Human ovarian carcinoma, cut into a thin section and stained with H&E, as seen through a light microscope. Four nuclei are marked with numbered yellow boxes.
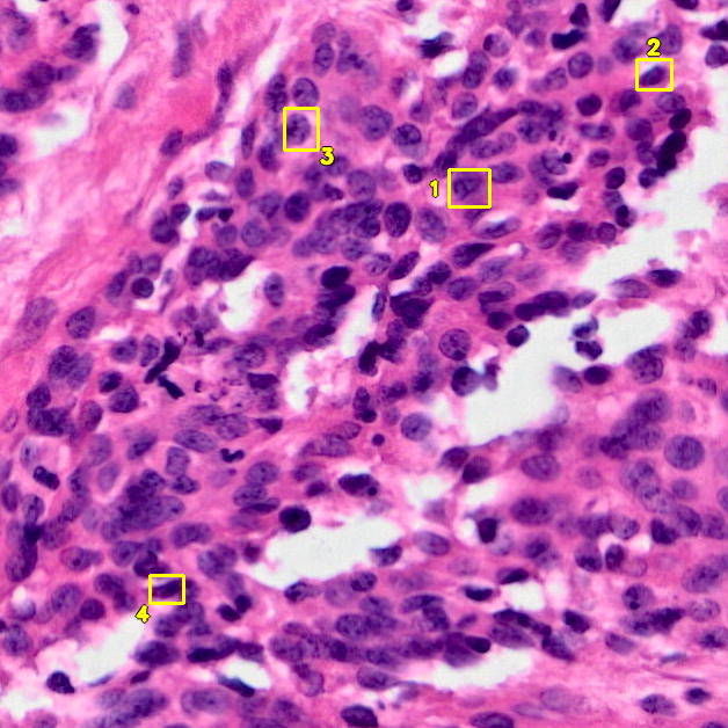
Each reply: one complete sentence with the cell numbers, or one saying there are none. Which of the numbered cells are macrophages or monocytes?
Only nucleus 3 belongs to a macrophage or monocyte; the other numbered nuclei do not.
